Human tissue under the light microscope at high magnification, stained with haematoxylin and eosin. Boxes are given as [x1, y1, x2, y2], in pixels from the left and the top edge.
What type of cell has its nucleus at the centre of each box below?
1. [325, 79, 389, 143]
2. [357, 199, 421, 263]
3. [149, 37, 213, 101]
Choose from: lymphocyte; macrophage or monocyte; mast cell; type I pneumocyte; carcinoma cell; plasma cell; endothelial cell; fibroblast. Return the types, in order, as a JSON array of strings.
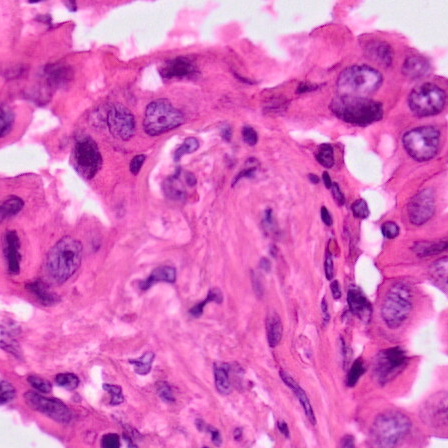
["carcinoma cell", "lymphocyte", "carcinoma cell"]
